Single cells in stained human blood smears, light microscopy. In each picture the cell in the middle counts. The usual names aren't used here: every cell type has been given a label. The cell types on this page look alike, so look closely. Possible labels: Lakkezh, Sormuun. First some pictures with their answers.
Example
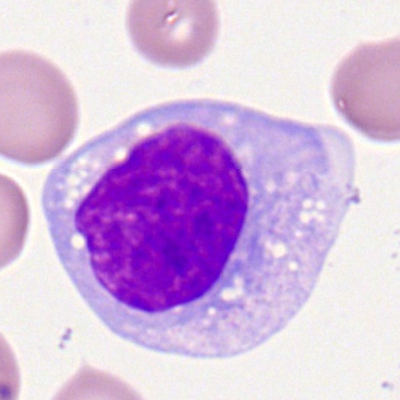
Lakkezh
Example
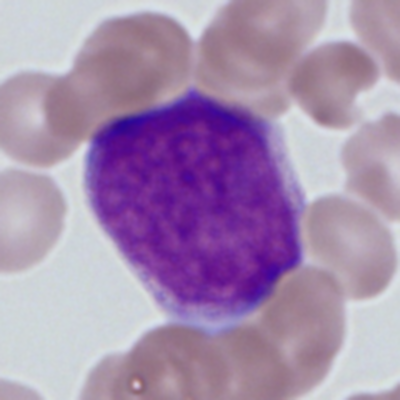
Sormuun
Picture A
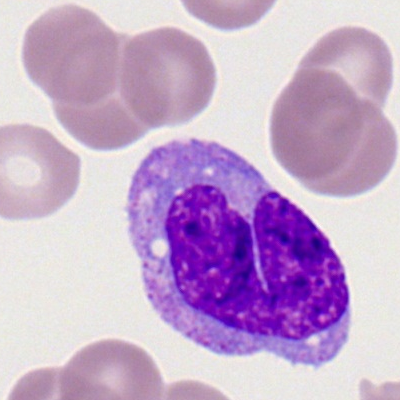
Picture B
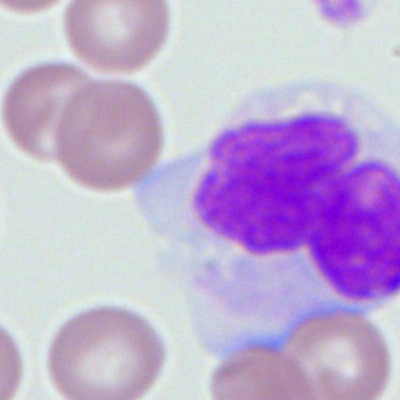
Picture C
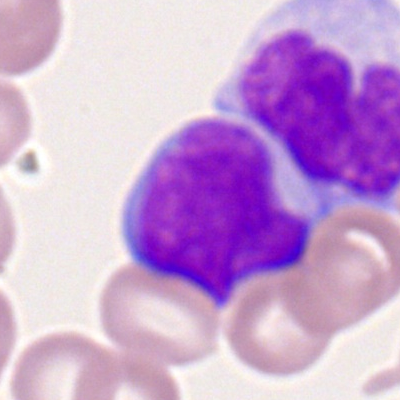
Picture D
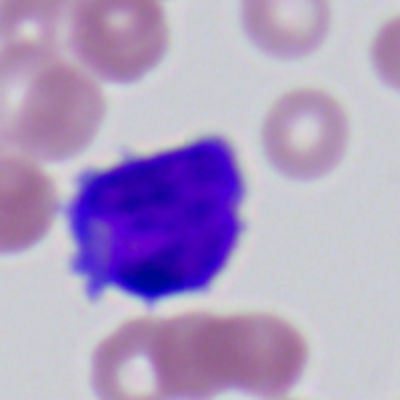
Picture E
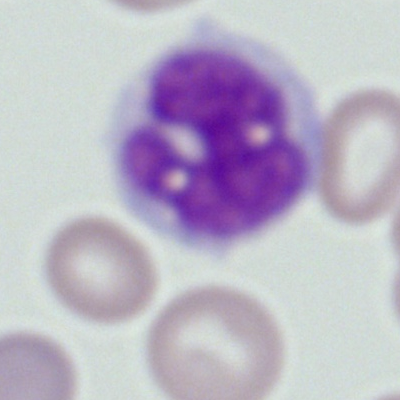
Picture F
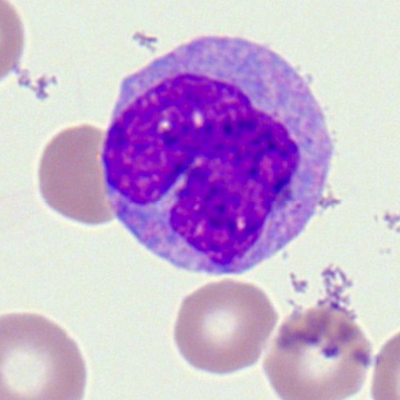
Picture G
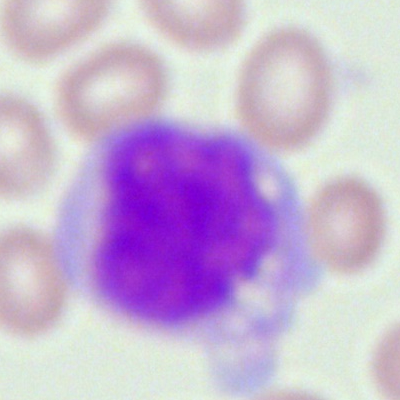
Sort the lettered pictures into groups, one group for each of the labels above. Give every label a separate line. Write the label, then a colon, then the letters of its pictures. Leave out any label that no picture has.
Lakkezh: A, B, E, F, G
Sormuun: C, D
